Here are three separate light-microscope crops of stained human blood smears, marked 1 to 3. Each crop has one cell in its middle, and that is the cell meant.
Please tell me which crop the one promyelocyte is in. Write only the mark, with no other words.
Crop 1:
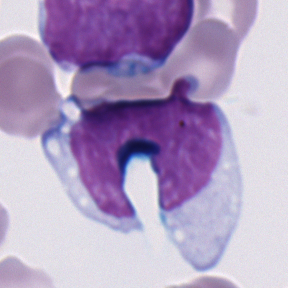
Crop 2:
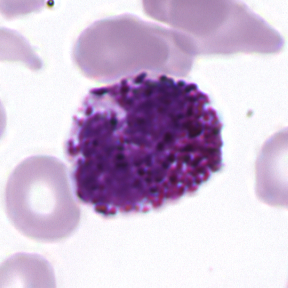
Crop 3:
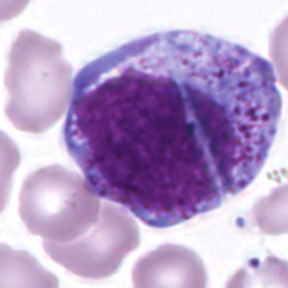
3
